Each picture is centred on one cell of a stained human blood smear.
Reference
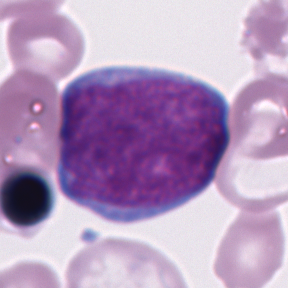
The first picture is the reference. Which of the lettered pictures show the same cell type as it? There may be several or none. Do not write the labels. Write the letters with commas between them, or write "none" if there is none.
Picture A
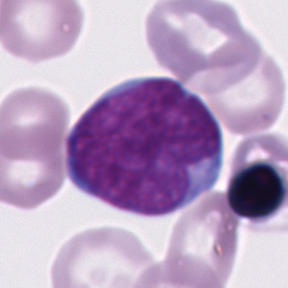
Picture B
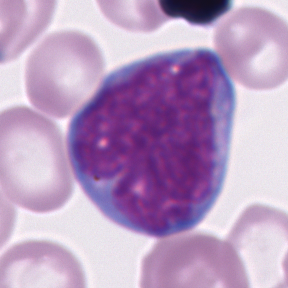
A, B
